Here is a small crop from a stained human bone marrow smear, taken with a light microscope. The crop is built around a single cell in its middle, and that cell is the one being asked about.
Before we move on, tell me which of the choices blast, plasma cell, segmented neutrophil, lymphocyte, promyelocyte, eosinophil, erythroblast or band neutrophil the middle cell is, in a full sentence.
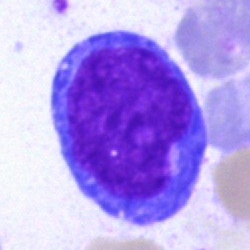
The cell in the middle of this crop is a blast.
